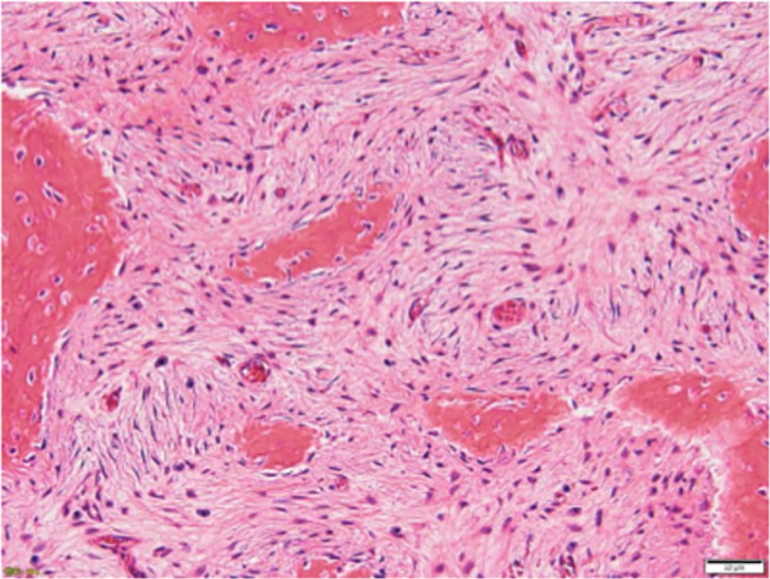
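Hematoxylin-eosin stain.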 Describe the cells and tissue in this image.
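Cellular fibrous tissue made of spindle-shaped stromal cells with slender, dark purple nuclei, arranged in streaming and swirling bundles. Curved, irregular pink trabeculae of woven bone with scattered cells in lacunae lie within it. The bone surfaces lack a lining row of plump osteoblasts. Small vessels with red blood cells are scattered through the stroma.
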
